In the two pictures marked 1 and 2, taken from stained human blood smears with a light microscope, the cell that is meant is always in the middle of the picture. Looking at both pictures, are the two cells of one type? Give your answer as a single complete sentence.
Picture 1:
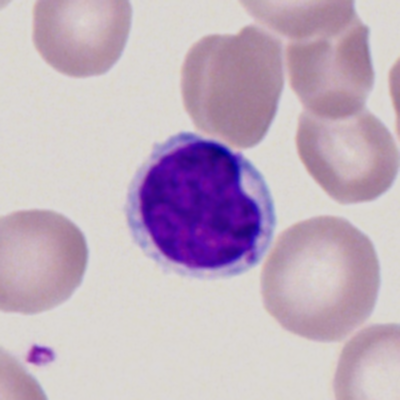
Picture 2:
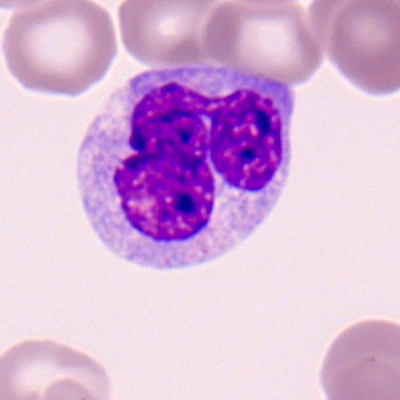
No; the cell in picture 1 is a lymphocyte, while the one in picture 2 is a monocyte.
